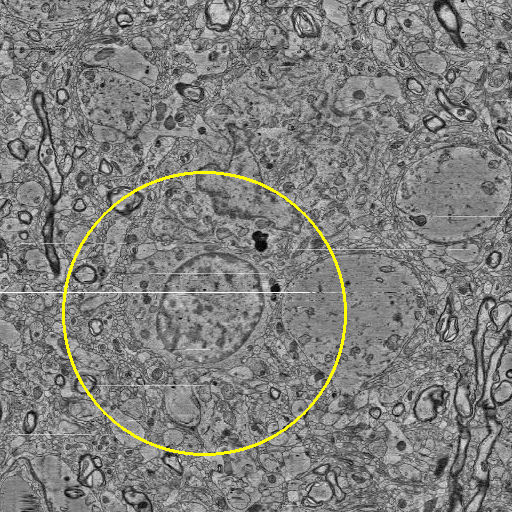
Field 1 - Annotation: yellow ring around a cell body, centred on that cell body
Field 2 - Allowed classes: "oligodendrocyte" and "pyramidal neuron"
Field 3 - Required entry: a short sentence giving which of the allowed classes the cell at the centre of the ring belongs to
The centred cell is an oligodendrocyte.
